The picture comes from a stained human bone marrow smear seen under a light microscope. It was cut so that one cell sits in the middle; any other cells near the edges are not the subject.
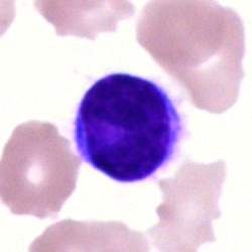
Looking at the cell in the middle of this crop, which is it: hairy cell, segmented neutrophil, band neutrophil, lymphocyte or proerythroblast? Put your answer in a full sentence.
This crop is built around a lymphocyte at its centre.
